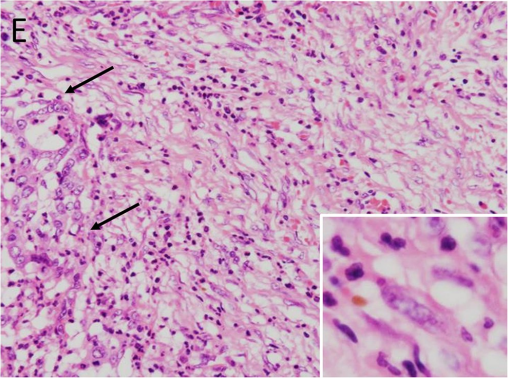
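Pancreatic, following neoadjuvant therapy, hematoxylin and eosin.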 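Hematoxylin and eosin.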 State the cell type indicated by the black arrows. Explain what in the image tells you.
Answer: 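The arrows point to small gland-like clusters of epithelial cells at the left edge.
Hence: cancer cells.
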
